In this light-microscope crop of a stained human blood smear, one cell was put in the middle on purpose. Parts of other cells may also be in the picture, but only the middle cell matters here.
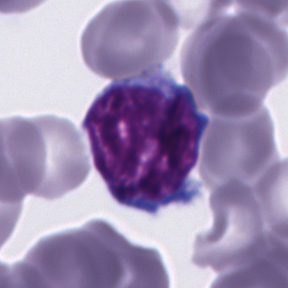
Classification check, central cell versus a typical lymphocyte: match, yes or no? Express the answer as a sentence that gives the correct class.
Yes, the cell at the center of the crop is a typical lymphocyte.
